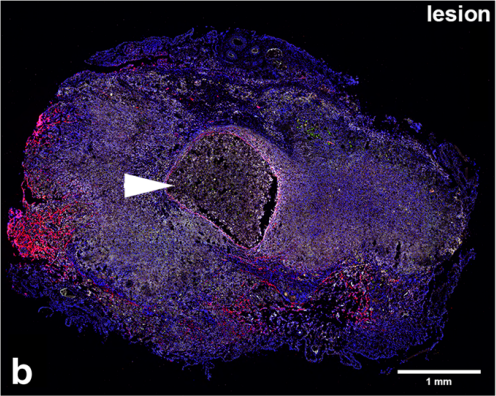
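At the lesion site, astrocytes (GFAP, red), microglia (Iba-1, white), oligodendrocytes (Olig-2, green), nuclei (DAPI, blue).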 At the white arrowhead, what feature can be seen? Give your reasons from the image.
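A large, sharply bounded cavity lies in the middle of the section. The tissue around it has lost the normal butterfly-shaped gray matter pattern.
Answer: central cystic cavity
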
